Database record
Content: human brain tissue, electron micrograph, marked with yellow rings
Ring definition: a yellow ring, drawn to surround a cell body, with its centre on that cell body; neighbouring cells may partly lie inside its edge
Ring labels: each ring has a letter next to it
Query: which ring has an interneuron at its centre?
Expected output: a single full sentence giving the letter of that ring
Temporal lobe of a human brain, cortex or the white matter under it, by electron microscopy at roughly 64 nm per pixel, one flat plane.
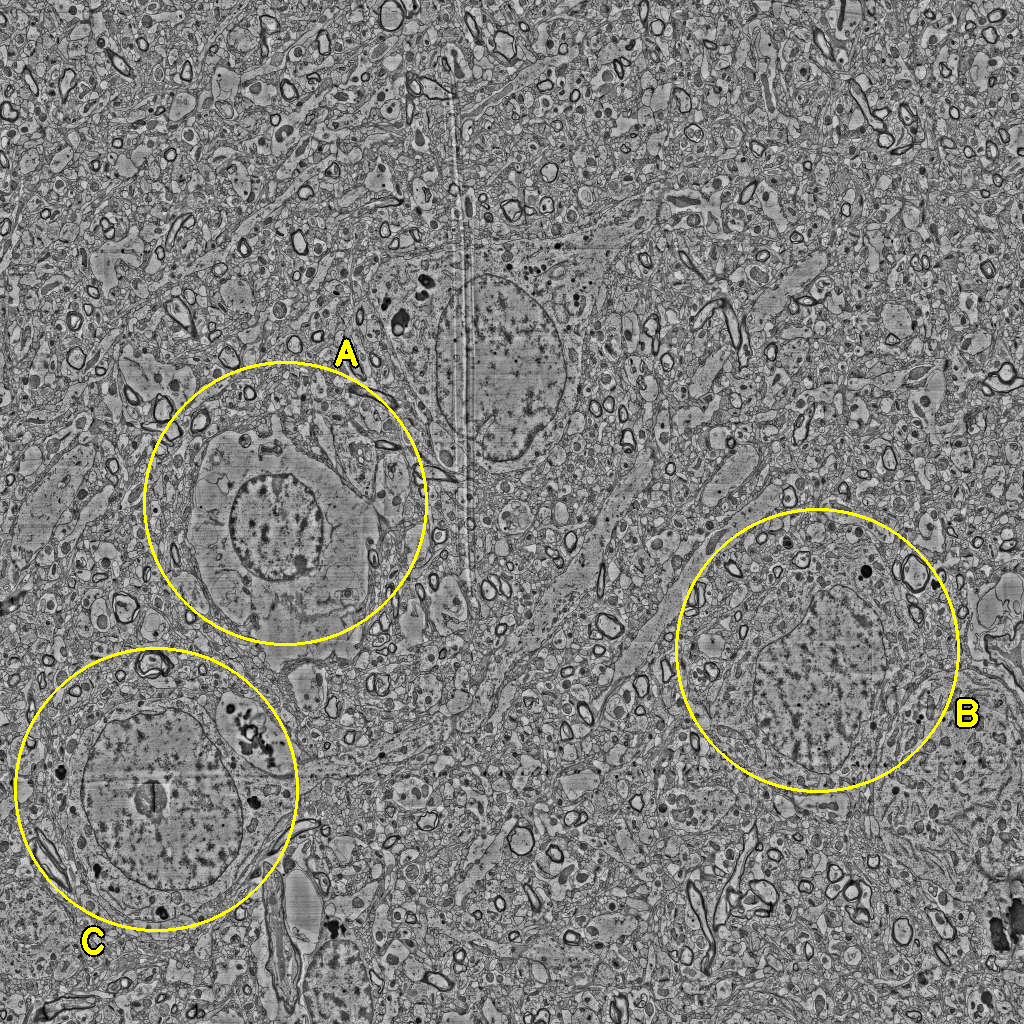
In the picture, the cell being queried lies at the centre of ring B.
